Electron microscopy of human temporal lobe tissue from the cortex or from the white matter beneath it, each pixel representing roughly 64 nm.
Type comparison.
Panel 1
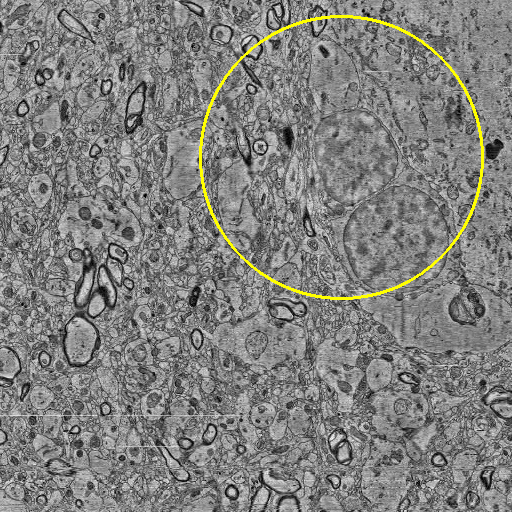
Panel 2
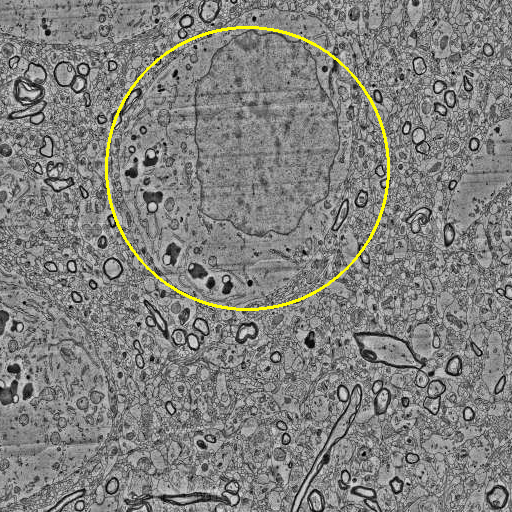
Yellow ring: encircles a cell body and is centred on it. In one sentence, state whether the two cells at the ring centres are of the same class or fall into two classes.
In these panels, the two cells at the ring centres fall into two classes.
